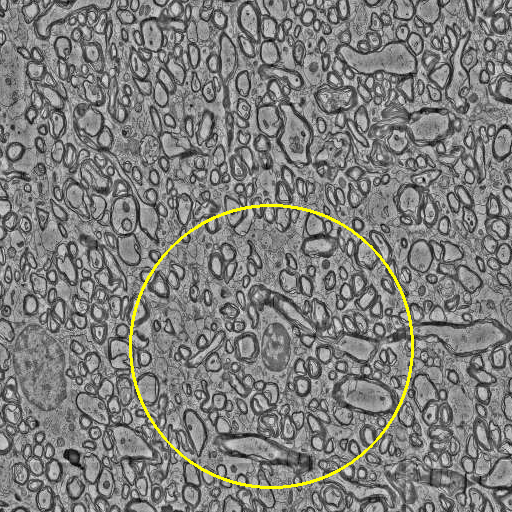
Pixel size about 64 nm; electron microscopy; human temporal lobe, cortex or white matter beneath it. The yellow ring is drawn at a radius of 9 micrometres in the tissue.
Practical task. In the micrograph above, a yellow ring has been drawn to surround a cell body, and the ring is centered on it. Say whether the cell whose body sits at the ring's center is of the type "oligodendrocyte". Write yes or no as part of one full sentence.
No, the cell at the center of the ring above is of another type.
